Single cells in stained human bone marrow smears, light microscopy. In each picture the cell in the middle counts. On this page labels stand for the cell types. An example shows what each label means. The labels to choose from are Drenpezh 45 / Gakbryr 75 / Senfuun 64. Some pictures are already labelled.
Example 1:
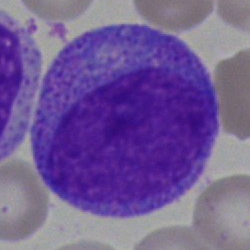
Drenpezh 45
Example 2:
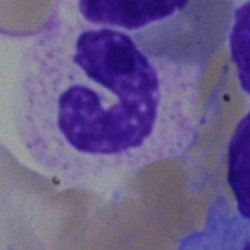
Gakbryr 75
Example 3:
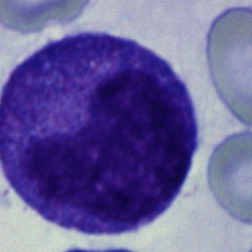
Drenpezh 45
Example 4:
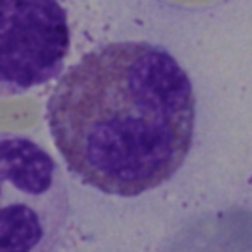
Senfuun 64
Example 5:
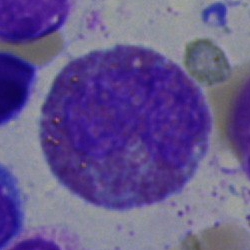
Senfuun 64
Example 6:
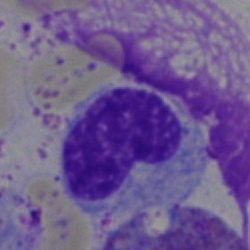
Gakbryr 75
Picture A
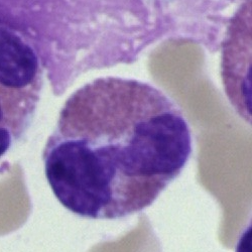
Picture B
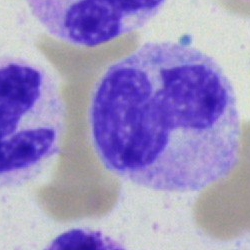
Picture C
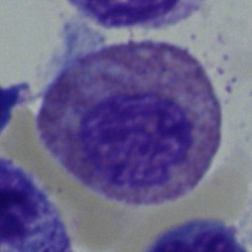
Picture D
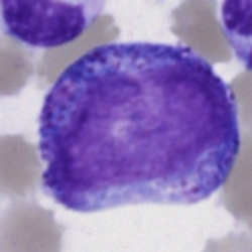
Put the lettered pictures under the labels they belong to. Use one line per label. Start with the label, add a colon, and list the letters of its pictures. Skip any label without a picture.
Drenpezh 45: D
Gakbryr 75: B
Senfuun 64: A, C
